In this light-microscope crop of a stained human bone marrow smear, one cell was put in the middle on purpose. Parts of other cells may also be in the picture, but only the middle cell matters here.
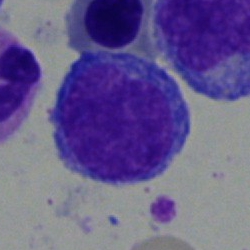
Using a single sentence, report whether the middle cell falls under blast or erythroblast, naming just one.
Classified as a blast is the cell in the middle of this crop.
